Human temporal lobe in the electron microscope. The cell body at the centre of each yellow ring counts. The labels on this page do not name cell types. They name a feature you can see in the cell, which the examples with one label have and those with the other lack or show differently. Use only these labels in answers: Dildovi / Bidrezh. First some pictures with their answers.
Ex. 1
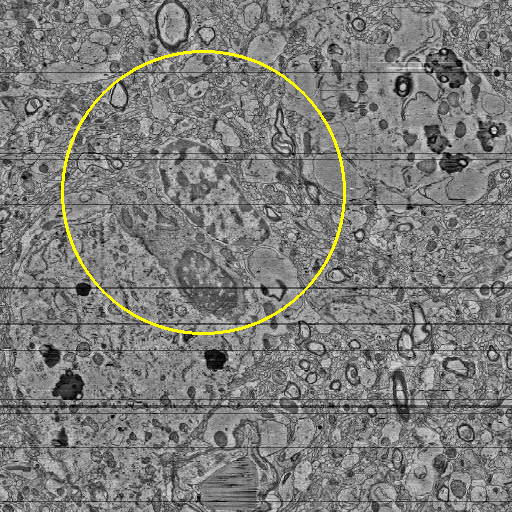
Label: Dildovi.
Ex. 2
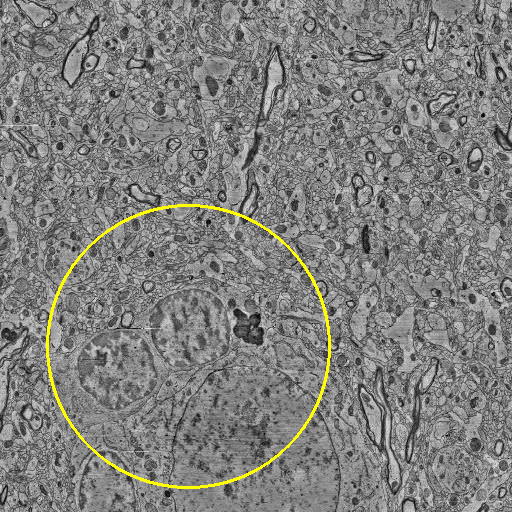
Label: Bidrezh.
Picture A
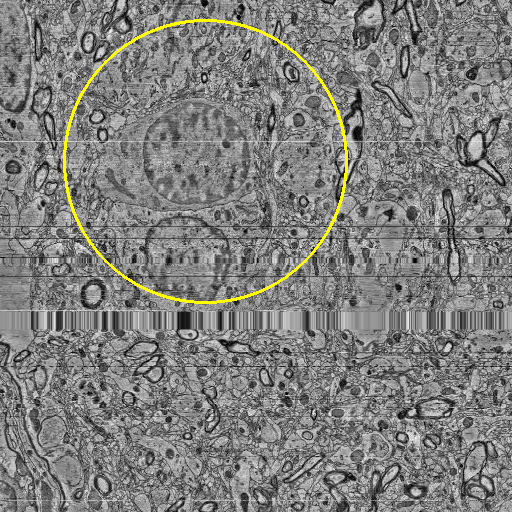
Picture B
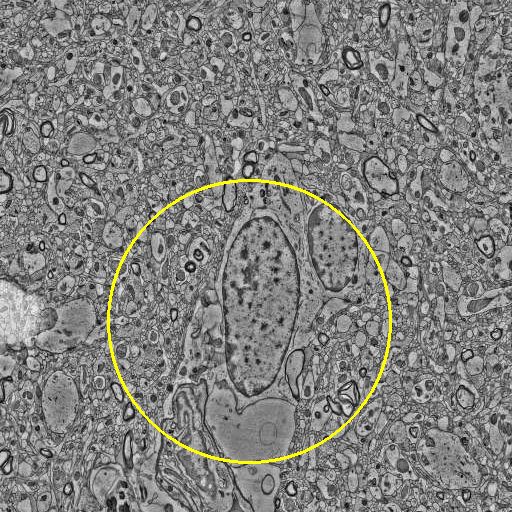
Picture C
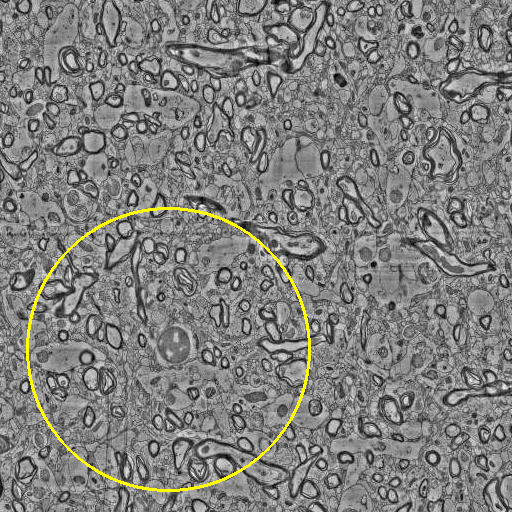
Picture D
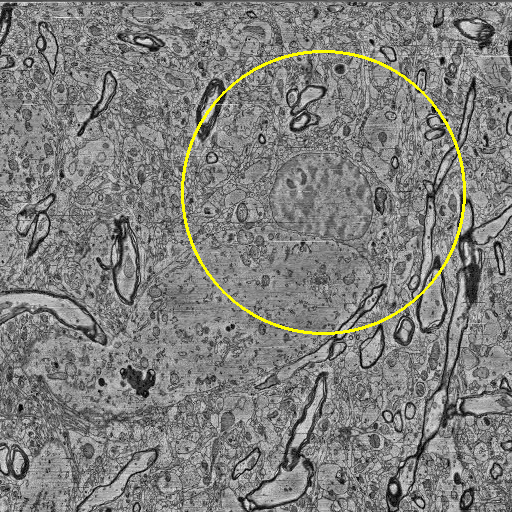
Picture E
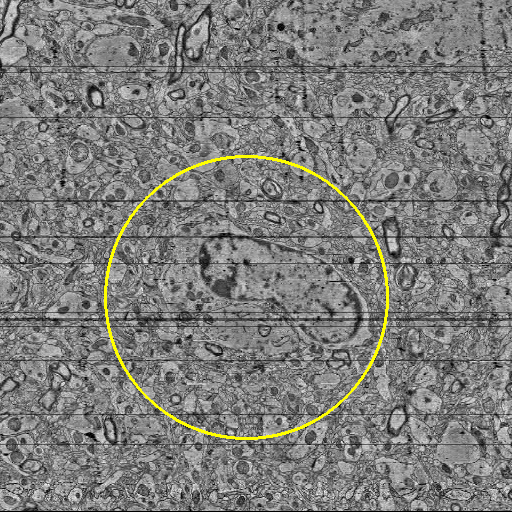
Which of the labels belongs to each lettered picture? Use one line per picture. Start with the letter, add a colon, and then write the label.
A: Bidrezh.
B: Dildovi.
C: Bidrezh.
D: Bidrezh.
E: Dildovi.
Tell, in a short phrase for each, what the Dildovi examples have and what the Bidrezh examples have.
Dildovi: clearly elongated nuclei; Bidrezh: round or nearly round nuclei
